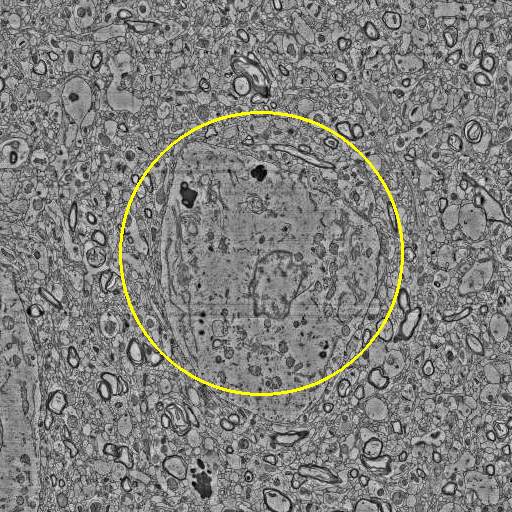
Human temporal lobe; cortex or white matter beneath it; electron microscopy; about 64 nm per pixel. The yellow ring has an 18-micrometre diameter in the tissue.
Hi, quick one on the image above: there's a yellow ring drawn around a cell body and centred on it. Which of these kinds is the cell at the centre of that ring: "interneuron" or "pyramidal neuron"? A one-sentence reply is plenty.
The cell at the centre of the ring is a pyramidal neuron.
